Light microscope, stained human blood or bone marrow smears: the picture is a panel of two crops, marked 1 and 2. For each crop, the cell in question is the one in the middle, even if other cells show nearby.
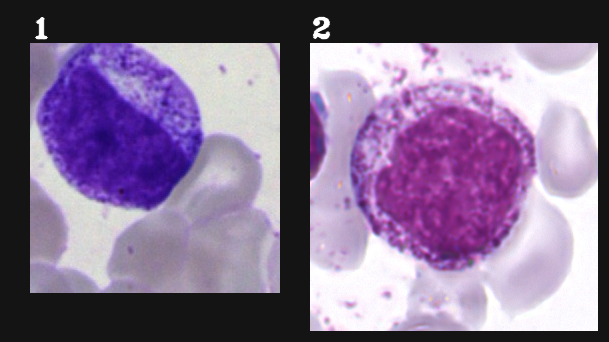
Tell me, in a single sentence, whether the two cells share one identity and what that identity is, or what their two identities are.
Yes, both the first crop and the second crop show myelocytes.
